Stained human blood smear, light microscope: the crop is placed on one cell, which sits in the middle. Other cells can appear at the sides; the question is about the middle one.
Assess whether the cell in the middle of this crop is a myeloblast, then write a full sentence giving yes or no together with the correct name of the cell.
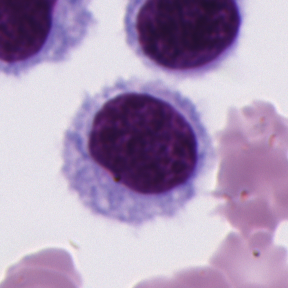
No, in this crop the middle cell is a hairy cell, not a myeloblast.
